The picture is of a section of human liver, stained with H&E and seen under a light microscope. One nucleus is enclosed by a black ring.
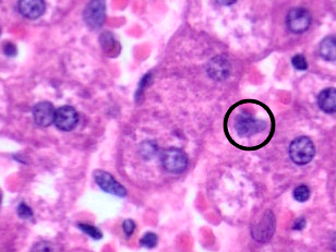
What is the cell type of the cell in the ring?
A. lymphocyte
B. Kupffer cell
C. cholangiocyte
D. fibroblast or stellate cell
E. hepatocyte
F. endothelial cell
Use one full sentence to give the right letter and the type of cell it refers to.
In short, option F: the cell in the ring is an endothelial cell.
